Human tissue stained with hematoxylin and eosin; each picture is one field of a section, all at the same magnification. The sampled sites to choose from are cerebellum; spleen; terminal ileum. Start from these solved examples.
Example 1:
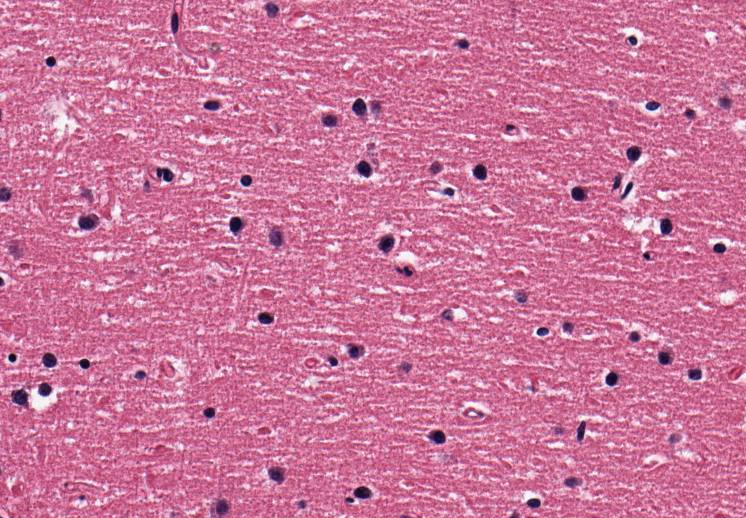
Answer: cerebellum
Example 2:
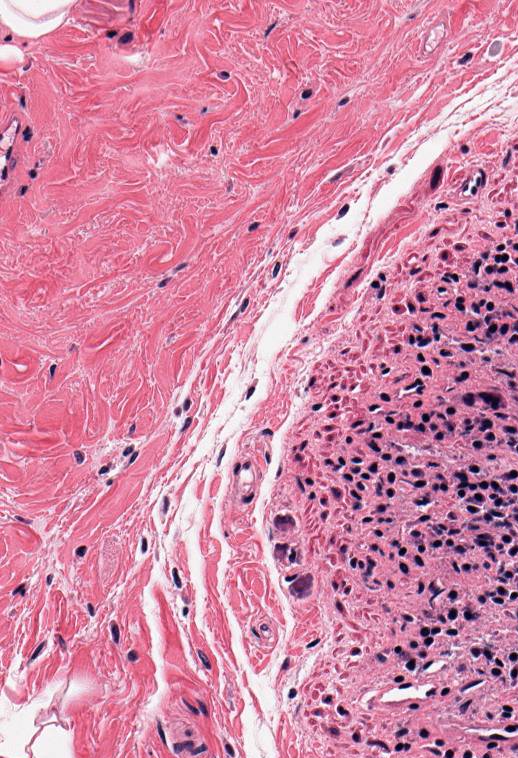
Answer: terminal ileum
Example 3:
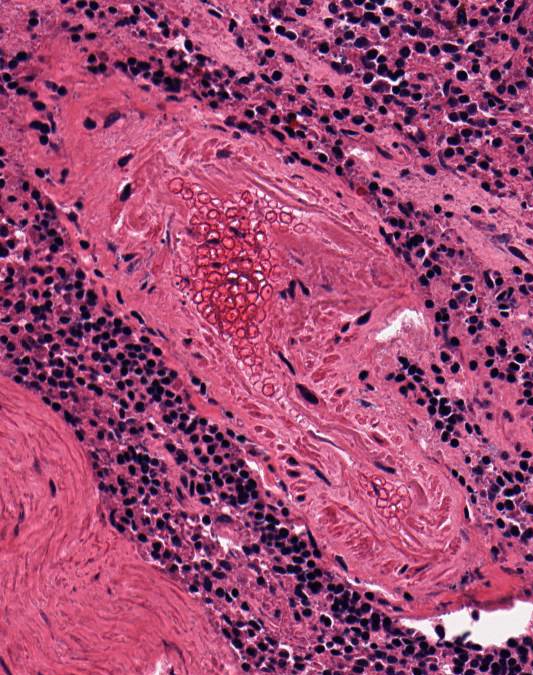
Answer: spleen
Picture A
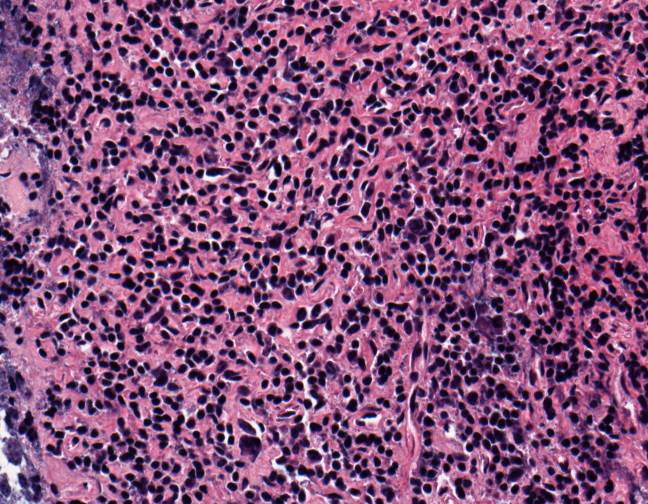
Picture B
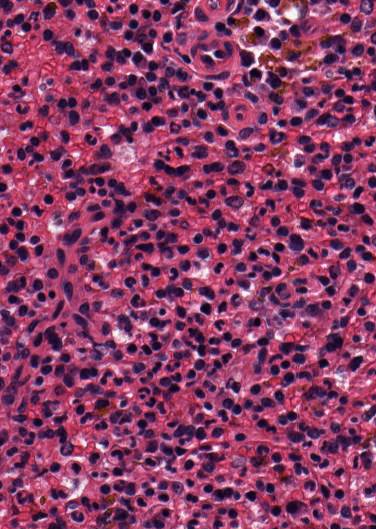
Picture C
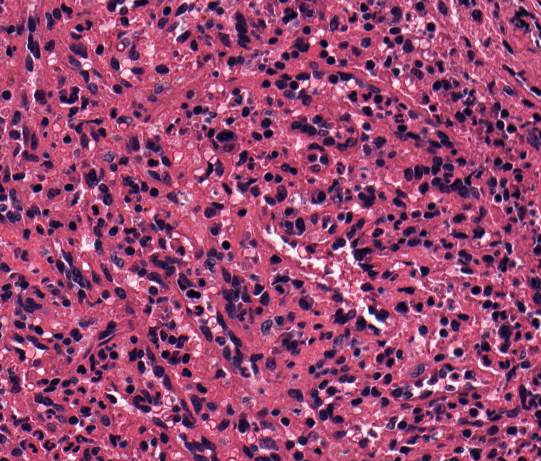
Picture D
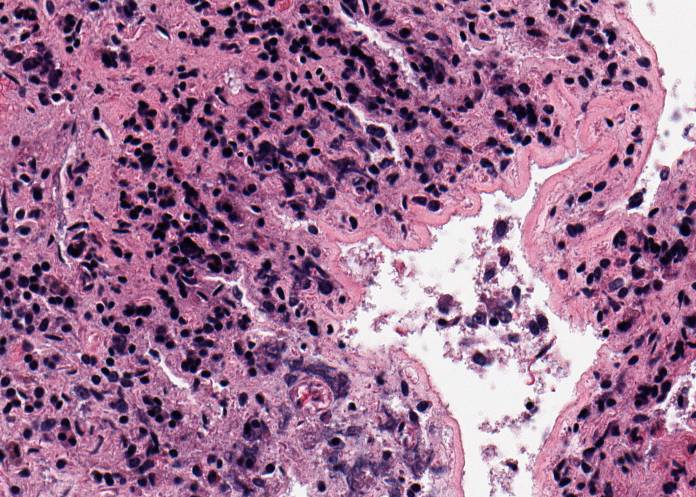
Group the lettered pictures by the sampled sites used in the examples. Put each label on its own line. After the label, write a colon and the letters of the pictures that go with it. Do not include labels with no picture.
spleen: B, C
terminal ileum: A, D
